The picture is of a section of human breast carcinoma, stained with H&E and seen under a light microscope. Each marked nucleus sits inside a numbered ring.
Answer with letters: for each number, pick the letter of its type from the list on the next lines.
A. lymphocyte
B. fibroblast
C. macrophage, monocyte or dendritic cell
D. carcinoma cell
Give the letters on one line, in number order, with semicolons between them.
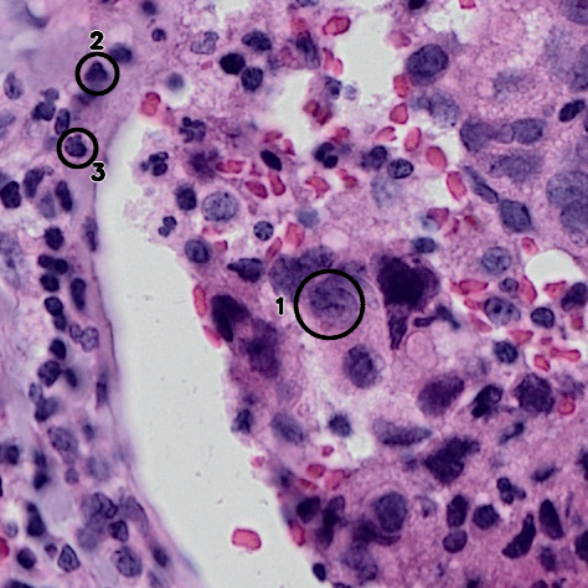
D; A; A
